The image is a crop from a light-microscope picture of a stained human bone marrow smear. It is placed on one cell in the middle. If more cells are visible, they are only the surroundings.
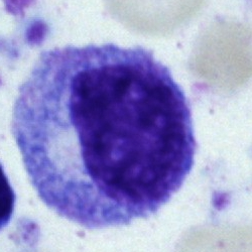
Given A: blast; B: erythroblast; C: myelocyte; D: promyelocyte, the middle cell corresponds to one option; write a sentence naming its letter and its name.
Option D gets it right: the cell in the middle is a promyelocyte.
